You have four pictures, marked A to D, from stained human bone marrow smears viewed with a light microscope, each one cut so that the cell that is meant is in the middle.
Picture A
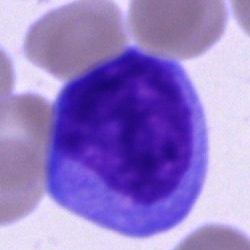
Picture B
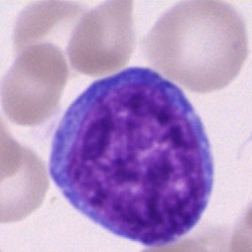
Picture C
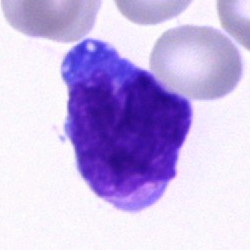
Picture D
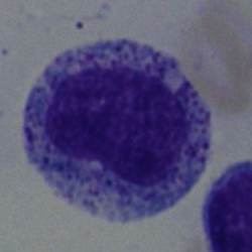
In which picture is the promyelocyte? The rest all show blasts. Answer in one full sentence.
Picture D is the one that shows the promyelocyte.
